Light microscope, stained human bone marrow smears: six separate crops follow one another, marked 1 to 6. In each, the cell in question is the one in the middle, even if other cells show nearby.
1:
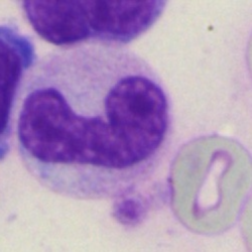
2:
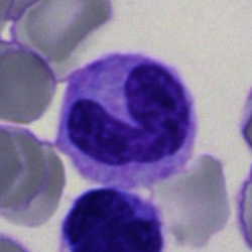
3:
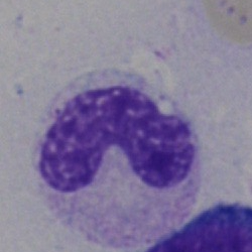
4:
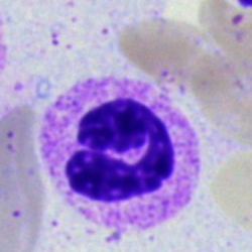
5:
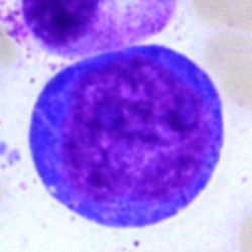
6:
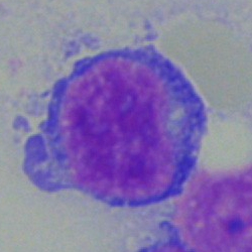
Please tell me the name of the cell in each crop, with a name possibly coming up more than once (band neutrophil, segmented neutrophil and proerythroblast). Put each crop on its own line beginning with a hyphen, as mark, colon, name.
- 1: band neutrophil
- 2: band neutrophil
- 3: band neutrophil
- 4: segmented neutrophil
- 5: proerythroblast
- 6: proerythroblast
